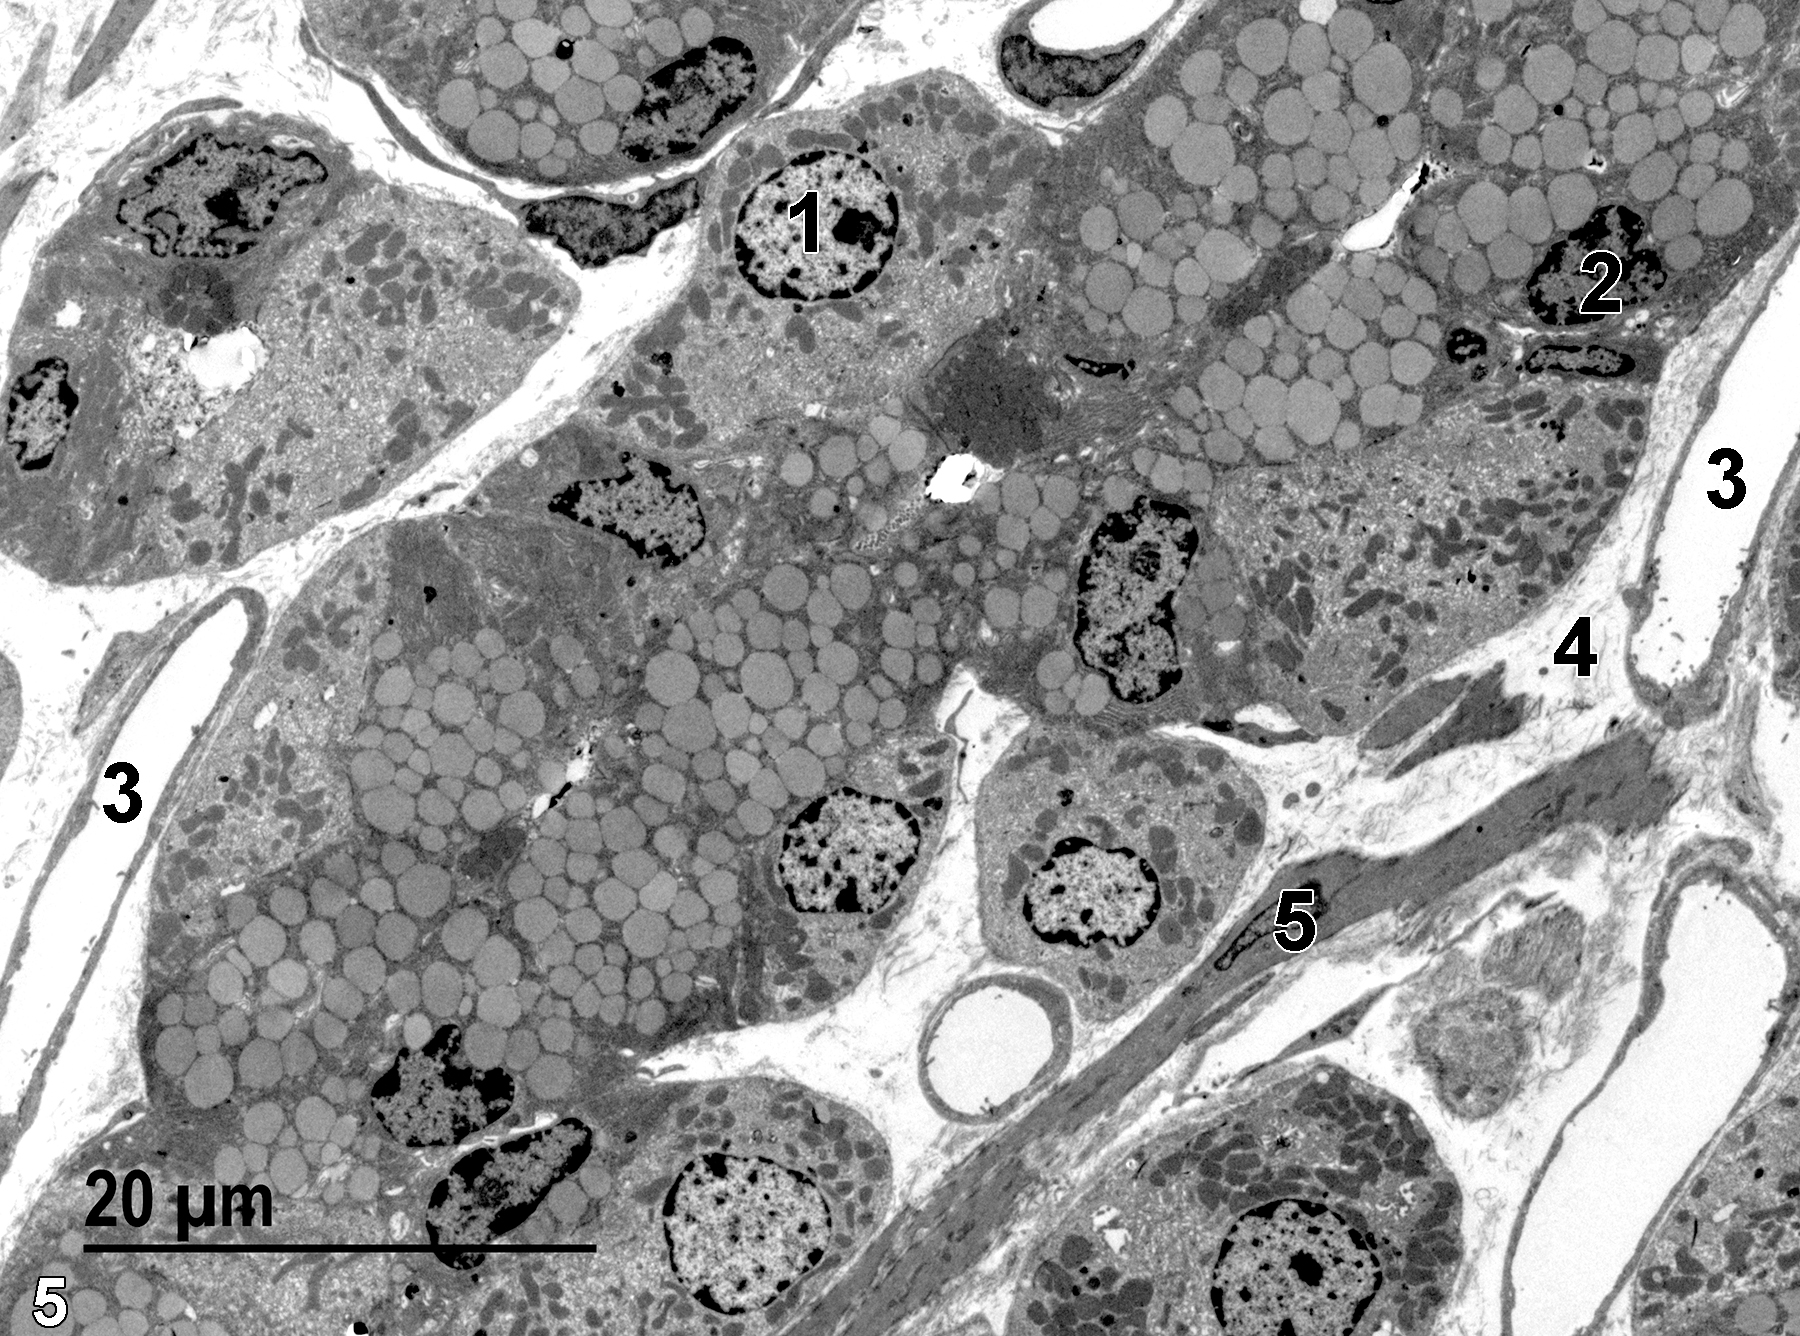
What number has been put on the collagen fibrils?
4.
